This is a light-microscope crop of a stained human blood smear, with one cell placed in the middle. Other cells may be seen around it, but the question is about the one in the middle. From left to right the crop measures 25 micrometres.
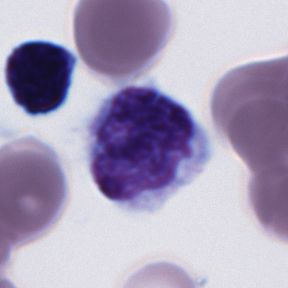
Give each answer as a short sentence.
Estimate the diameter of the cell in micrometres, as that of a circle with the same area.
The cell is about 11 micrometres across.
